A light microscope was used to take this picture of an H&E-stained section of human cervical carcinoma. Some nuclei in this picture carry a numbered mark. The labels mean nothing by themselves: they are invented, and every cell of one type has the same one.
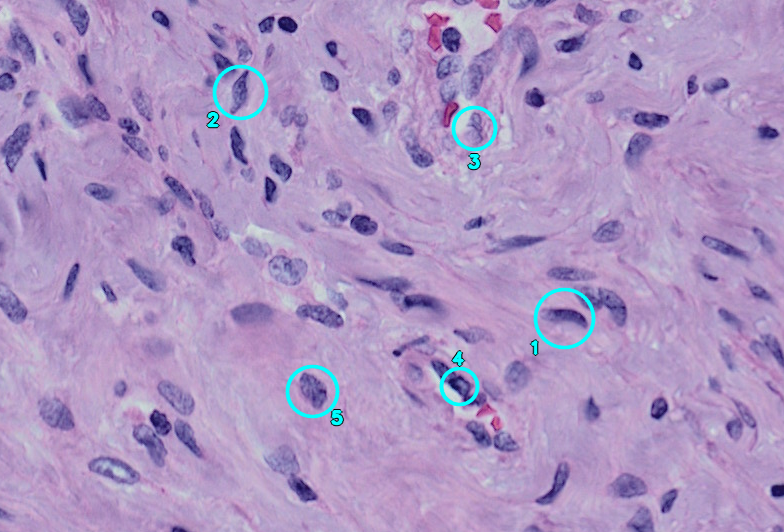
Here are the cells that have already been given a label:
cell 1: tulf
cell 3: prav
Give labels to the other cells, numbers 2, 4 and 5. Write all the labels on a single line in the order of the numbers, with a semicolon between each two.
tulf; prav; tulf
